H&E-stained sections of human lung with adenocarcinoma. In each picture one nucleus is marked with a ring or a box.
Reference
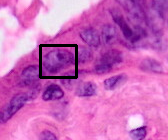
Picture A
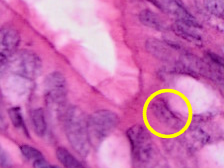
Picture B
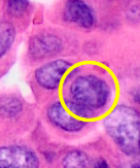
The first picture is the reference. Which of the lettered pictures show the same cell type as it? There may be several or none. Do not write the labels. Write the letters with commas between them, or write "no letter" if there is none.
A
